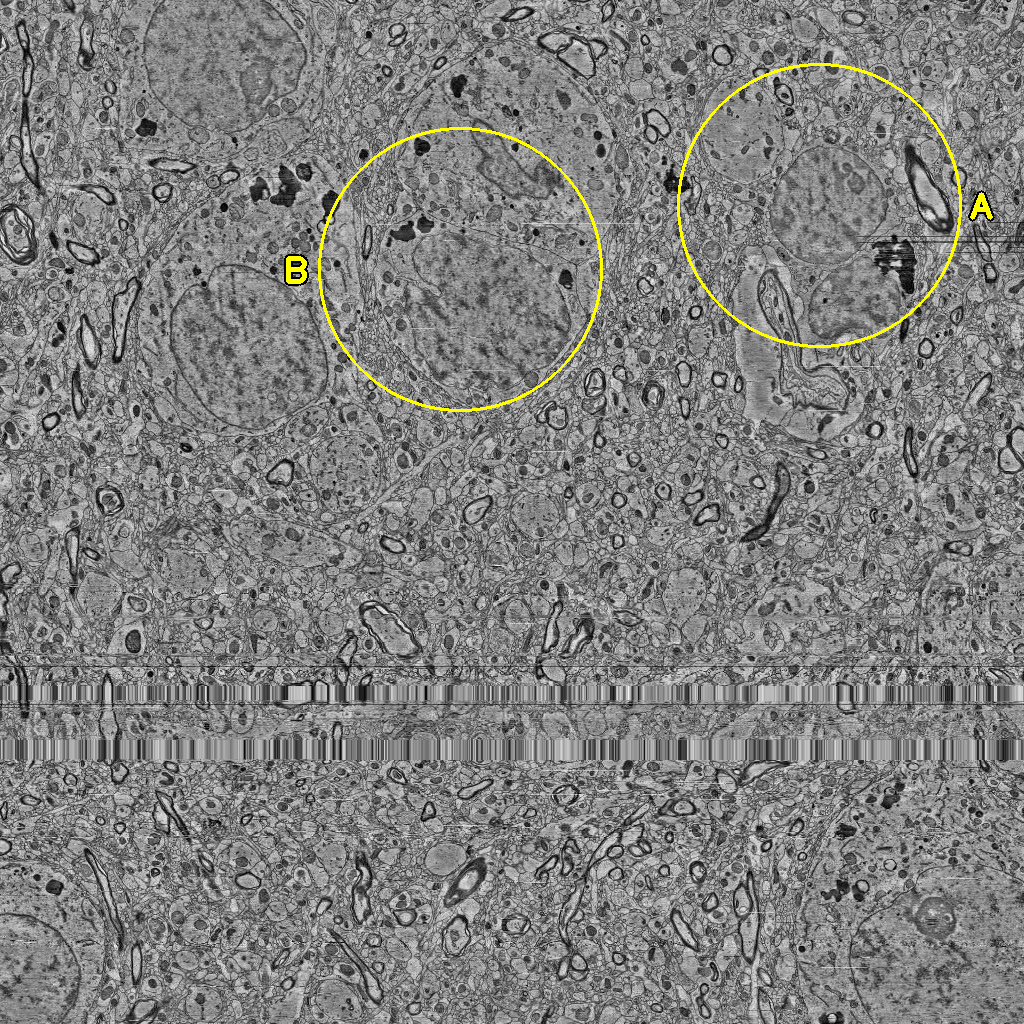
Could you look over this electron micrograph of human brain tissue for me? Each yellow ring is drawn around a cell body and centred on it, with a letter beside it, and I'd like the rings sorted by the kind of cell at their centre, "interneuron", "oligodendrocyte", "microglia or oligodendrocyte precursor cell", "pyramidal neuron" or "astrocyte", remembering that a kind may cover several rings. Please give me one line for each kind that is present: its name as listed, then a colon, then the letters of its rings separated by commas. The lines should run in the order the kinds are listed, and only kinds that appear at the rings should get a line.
interneuron: B
oligodendrocyte: A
